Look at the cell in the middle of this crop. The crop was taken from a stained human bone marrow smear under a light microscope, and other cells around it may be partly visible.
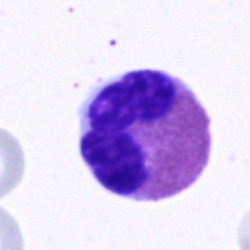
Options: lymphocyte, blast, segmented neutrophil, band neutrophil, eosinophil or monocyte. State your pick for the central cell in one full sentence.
Within this crop, an eosinophil occupies the central position.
